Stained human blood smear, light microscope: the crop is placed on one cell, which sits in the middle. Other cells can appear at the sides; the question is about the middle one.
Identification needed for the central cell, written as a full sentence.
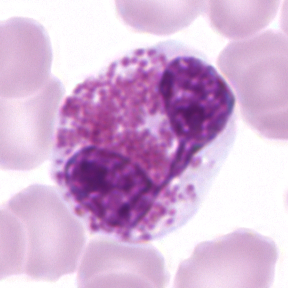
The cell nearest the centre of this crop is an eosinophil.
